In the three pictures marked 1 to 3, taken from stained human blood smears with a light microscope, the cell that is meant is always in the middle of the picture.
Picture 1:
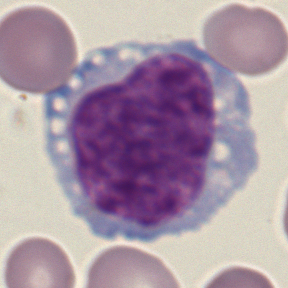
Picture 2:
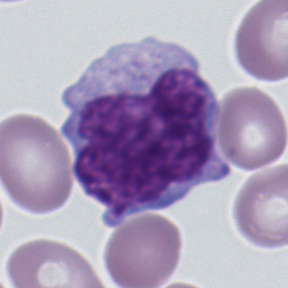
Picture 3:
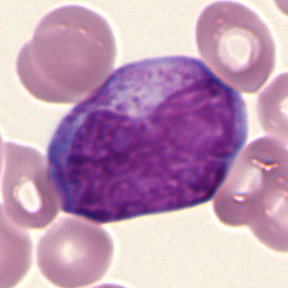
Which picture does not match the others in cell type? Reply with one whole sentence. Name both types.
Picture 1 is the odd one out: it shows a myeloblast, while the others show atypical promyelocytes.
